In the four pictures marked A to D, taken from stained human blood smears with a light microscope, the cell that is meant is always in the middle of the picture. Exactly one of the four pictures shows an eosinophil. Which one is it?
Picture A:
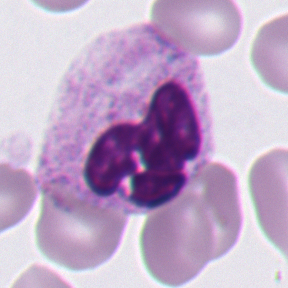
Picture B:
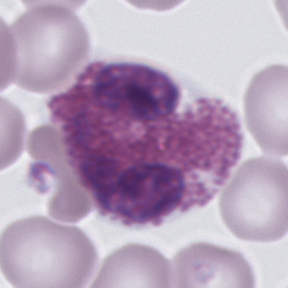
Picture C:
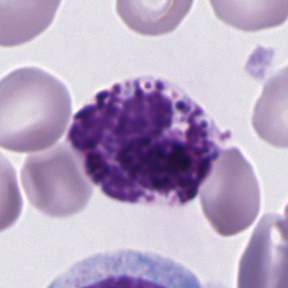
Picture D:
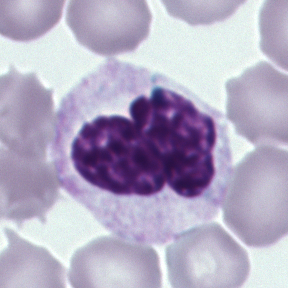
B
